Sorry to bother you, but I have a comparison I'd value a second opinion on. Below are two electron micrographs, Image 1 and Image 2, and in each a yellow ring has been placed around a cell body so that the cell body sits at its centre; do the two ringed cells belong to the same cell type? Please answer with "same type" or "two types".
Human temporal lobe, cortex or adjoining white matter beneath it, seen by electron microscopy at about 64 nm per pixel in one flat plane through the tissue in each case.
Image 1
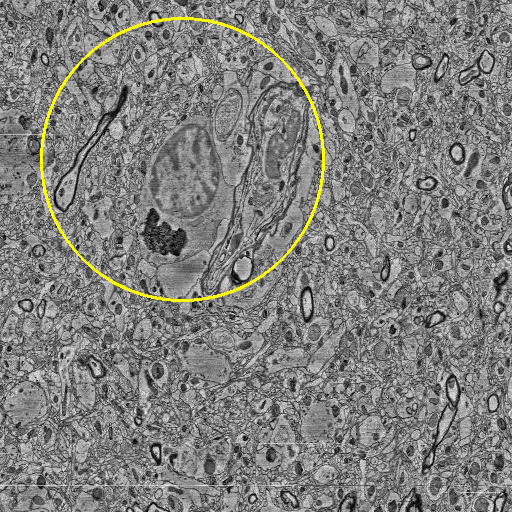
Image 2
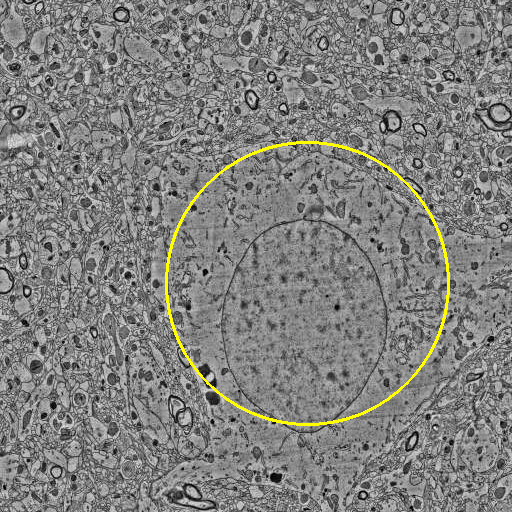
two types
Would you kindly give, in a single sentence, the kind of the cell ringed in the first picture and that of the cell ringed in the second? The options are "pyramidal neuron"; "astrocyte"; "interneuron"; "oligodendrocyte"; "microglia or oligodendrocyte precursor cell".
The second cell is a pyramidal neuron, and the first cell is an oligodendrocyte.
